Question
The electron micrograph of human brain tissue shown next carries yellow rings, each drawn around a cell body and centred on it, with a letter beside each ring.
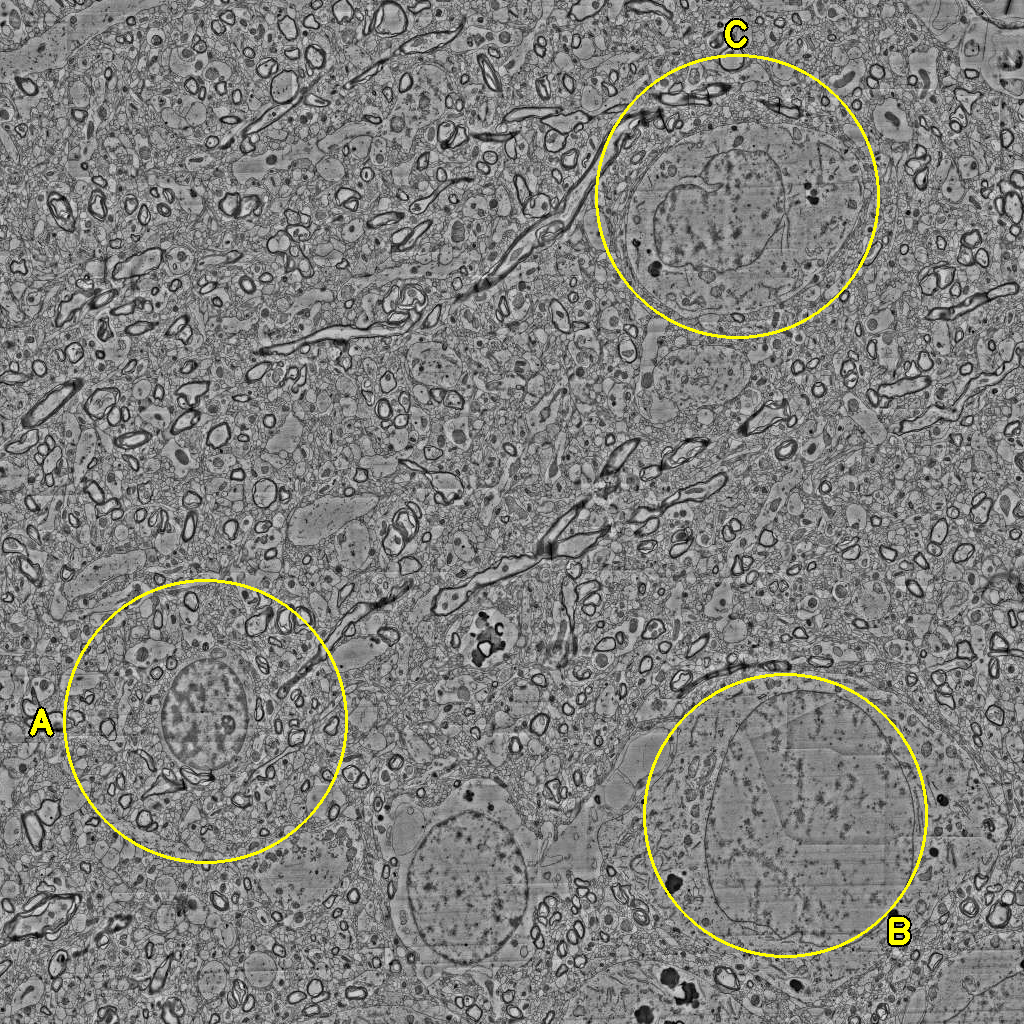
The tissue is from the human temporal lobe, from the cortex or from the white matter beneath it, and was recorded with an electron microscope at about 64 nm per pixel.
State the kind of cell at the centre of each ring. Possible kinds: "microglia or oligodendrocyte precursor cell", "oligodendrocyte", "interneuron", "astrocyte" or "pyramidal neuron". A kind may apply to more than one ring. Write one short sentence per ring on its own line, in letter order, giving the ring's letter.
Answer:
The cell centred in ring A is an oligodendrocyte.
The cell centred in ring B is a pyramidal neuron.
The cell centred in ring C is a pyramidal neuron.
